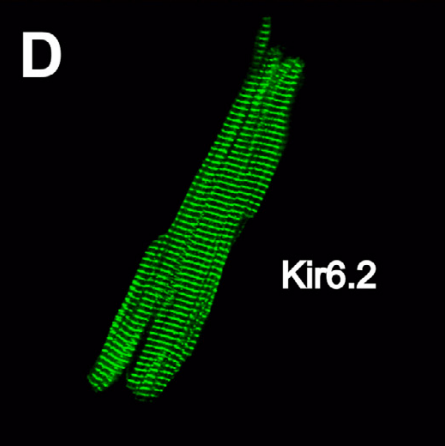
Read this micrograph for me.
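A broad, rod-shaped heart muscle cell is shown in green, with its ends divided into stepped, branch-like extensions. Bright green transverse bands repeat at short, regular intervals across the full width of the cell, giving a ladder-like striated pattern. The bands are continuous through the interior rather than confined to the edge. This form and regular cross-striation fit an isolated ventricular myocyte.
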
